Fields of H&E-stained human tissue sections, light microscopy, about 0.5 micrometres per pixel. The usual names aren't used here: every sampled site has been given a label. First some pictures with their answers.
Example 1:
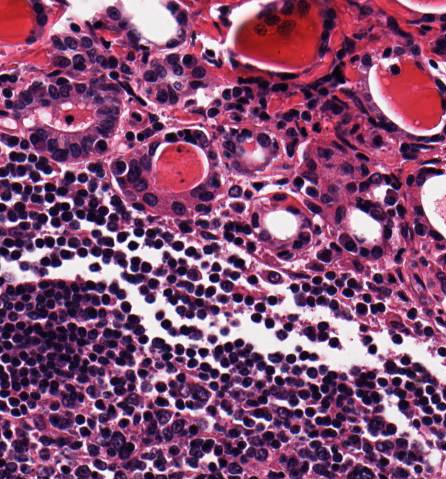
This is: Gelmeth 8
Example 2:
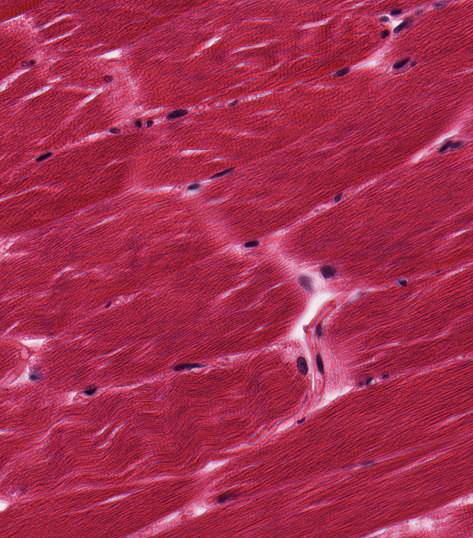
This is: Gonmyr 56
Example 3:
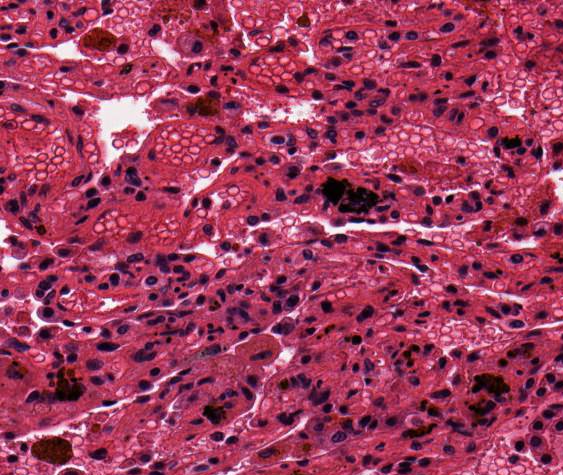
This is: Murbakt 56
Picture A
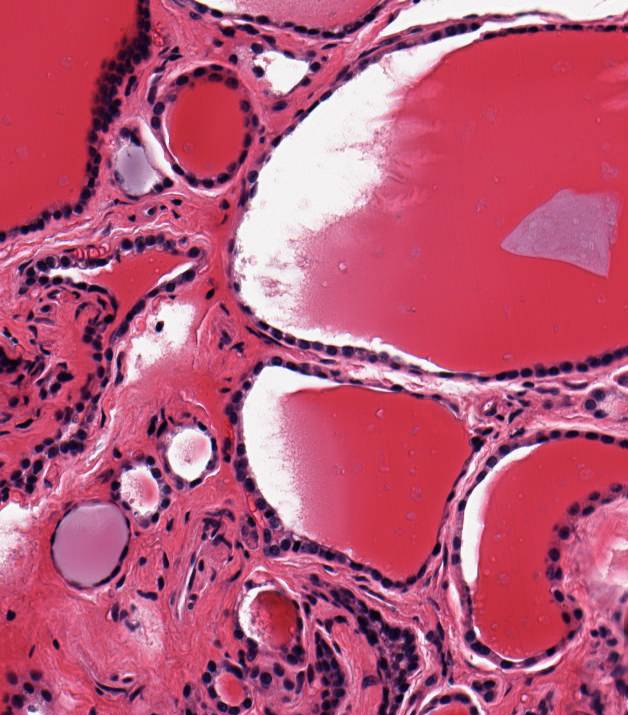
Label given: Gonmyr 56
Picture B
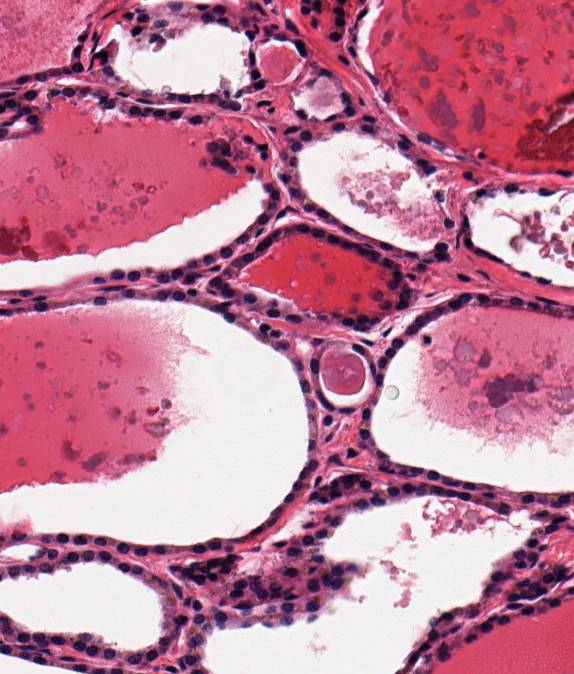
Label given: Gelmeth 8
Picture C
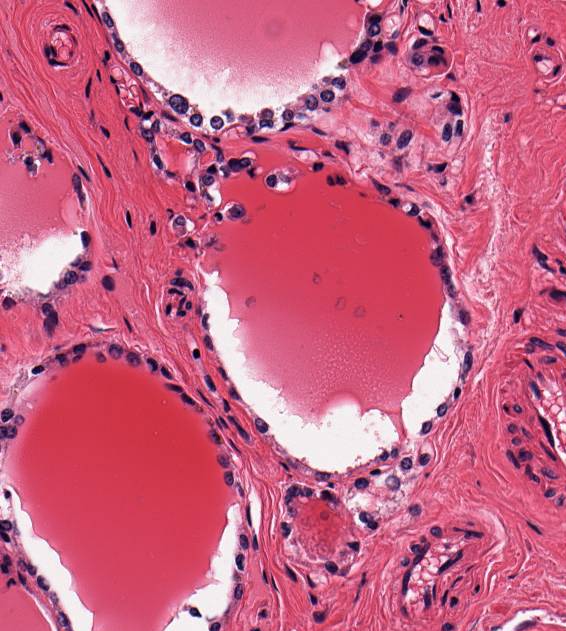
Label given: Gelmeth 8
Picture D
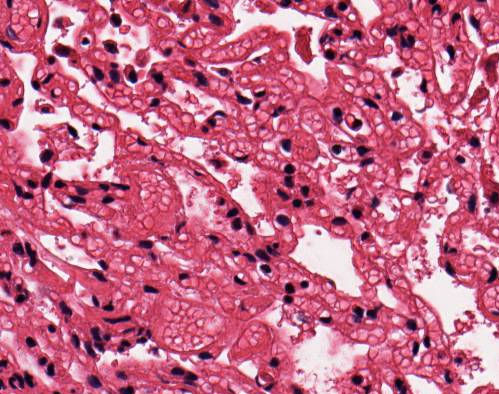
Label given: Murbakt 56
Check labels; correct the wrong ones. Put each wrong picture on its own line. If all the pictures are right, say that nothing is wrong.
A is labelled Gonmyr 56; correct label: Gelmeth 8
